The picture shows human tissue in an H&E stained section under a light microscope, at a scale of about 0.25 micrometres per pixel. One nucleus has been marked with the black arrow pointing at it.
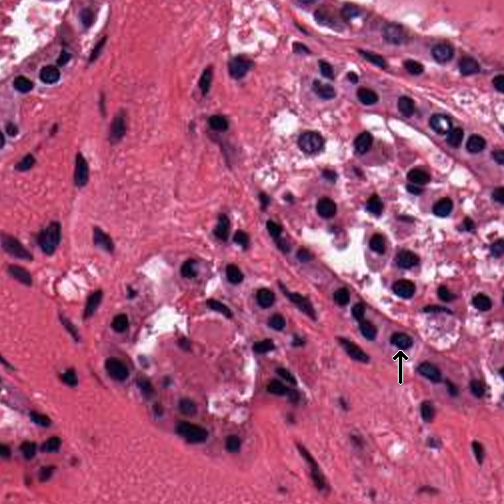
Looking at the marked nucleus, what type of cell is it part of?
thyroid follicular cell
